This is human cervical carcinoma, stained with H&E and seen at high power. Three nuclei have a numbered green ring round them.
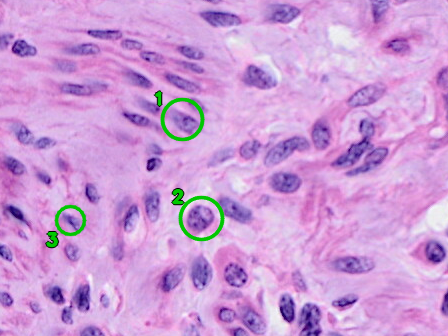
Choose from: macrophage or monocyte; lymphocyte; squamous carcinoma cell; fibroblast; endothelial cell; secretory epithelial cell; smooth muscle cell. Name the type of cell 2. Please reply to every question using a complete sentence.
Cell 2, as marked in the section, is a macrophage or monocyte.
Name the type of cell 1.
Recognised here as a smooth muscle cell is the cell numbered 1.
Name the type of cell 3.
In this section, number 3 marks a smooth muscle cell.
